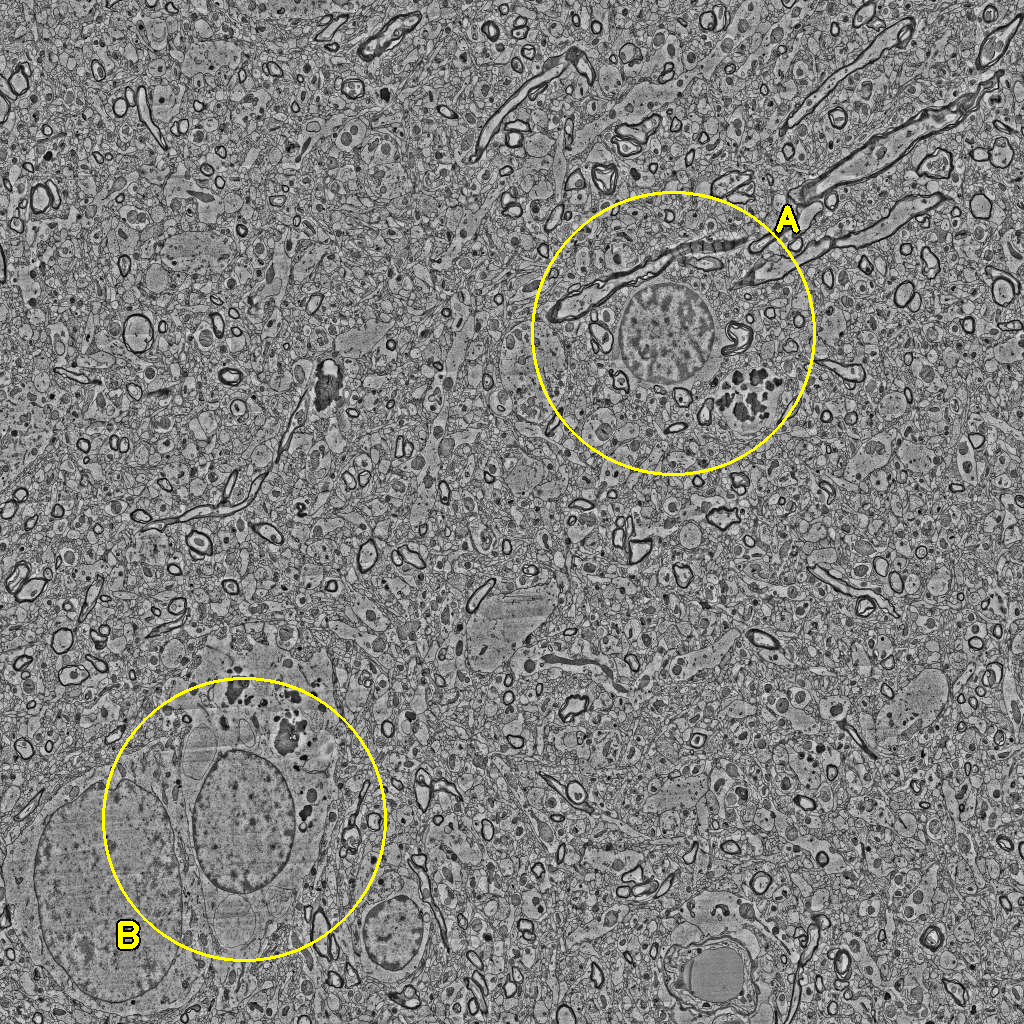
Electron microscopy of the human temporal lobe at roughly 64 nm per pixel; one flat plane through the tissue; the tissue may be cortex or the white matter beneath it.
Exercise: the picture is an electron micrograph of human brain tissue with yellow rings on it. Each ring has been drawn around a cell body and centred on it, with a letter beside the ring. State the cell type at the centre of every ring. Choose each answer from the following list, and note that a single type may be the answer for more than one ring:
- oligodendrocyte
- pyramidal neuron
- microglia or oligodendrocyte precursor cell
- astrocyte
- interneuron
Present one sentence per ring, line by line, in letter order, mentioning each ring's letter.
Ring A shows an oligodendrocyte at its centre.
Ring B shows an astrocyte at its centre.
